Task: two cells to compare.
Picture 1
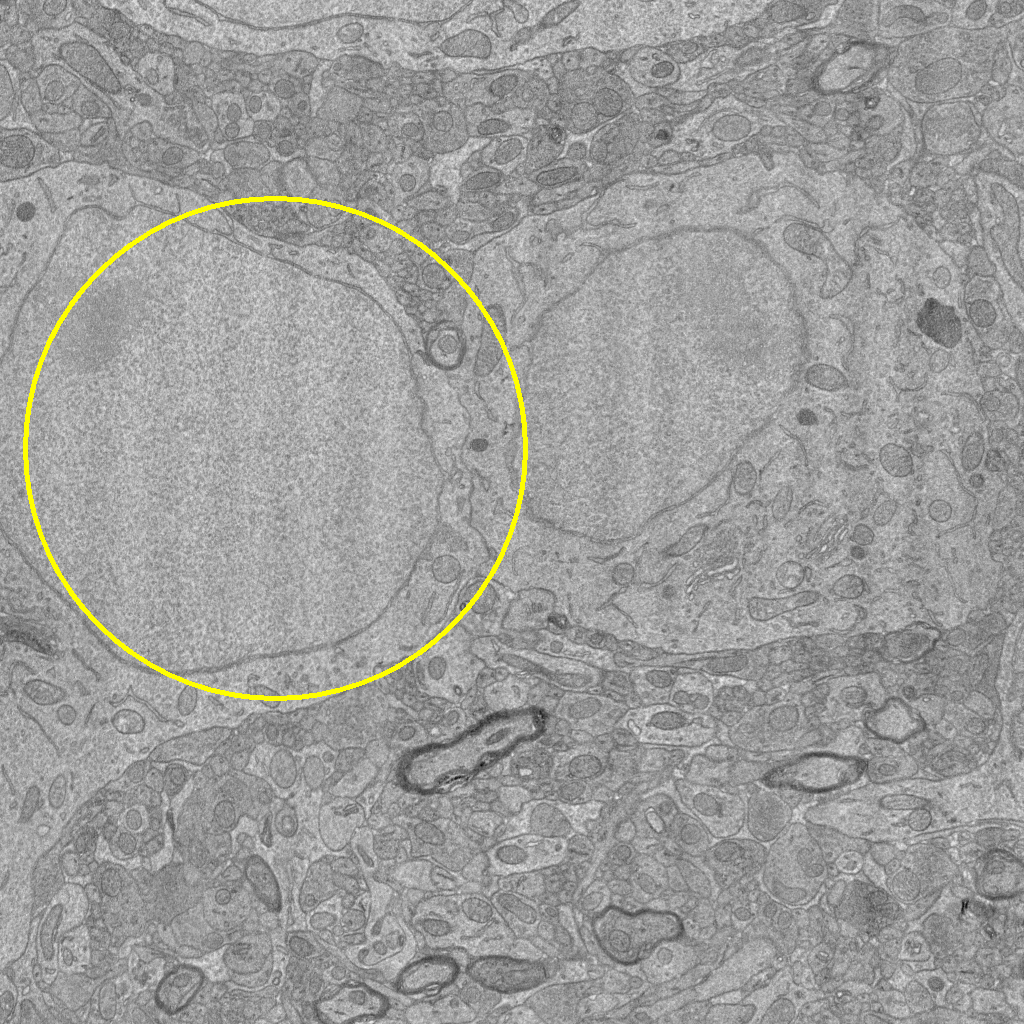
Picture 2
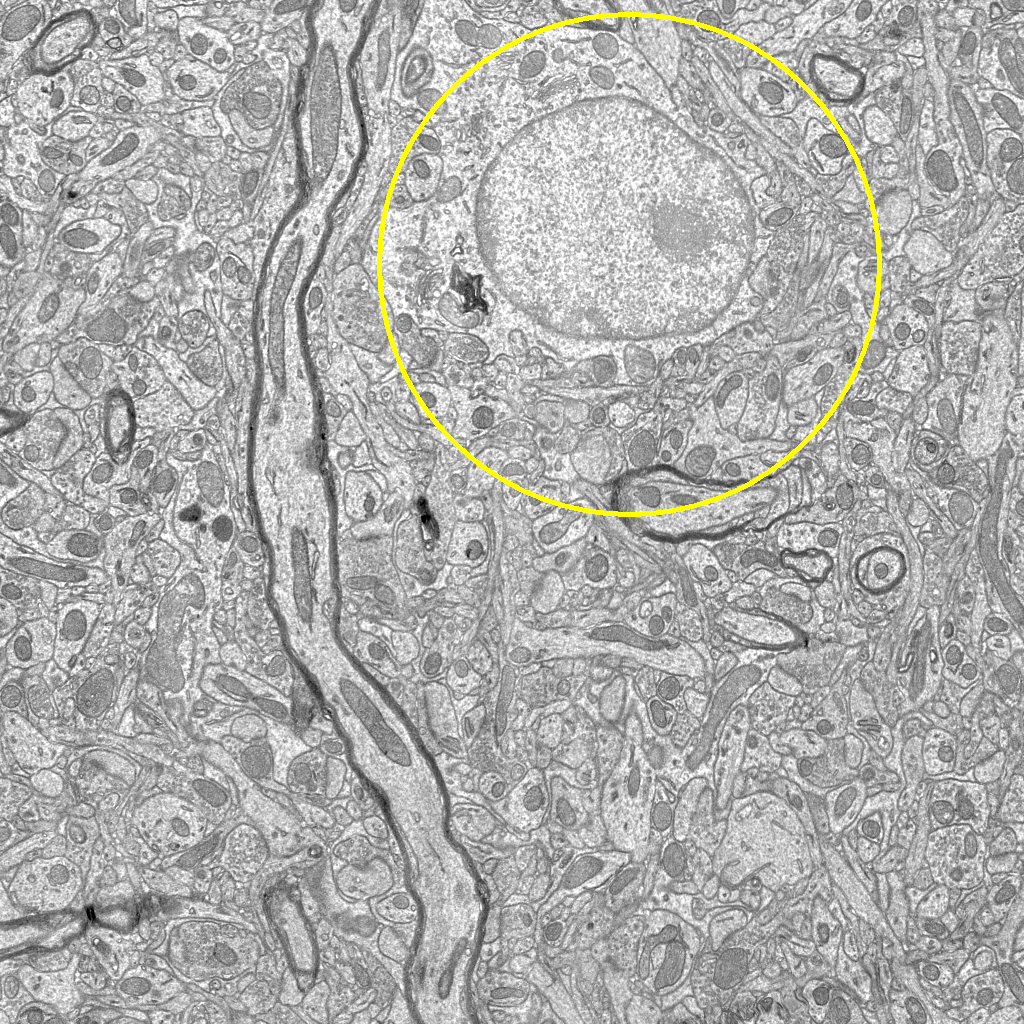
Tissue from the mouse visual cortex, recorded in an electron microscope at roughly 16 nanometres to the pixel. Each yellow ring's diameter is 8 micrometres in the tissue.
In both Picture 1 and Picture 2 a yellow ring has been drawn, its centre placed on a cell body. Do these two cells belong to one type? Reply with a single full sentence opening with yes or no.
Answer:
No, the two cells at the ring centres in Picture 1 and Picture 2 are of two types.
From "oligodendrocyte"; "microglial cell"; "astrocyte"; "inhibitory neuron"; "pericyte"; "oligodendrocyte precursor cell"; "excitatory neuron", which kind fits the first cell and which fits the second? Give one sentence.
The cell in the first picture is an excitatory neuron, and the cell in the second is an astrocyte.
